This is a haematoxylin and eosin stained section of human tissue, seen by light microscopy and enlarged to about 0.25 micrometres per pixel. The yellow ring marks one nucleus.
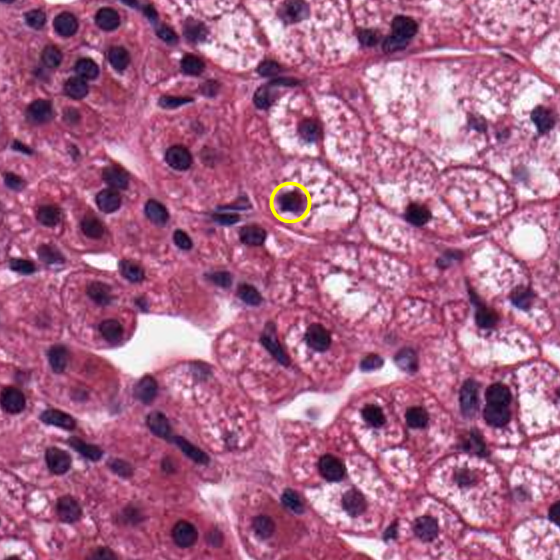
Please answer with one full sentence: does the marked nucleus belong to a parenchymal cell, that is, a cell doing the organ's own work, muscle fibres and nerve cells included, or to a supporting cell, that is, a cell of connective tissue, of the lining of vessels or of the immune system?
What the marked nucleus belongs to is a parenchymal cell, namely an adrenal cortical cell.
